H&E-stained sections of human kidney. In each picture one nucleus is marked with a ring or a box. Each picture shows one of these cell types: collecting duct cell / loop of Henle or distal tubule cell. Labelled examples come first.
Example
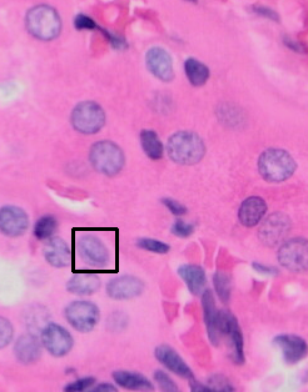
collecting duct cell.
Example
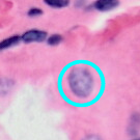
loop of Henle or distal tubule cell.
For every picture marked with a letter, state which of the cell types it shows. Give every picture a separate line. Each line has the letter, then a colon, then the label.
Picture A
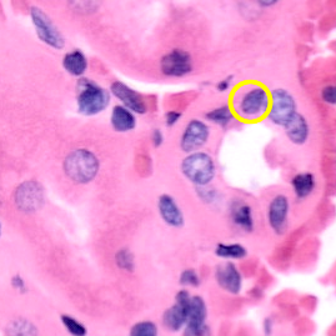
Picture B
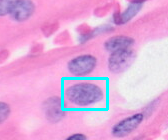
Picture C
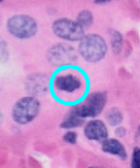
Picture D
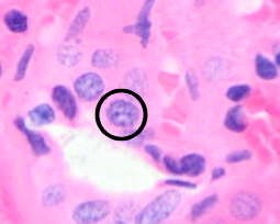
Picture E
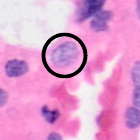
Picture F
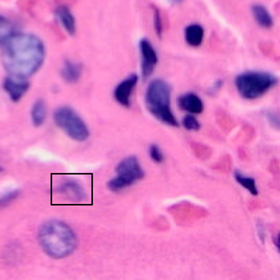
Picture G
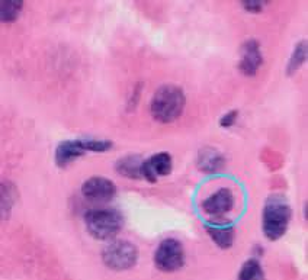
A: collecting duct cell.
B: collecting duct cell.
C: collecting duct cell.
D: collecting duct cell.
E: loop of Henle or distal tubule cell.
F: collecting duct cell.
G: collecting duct cell.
